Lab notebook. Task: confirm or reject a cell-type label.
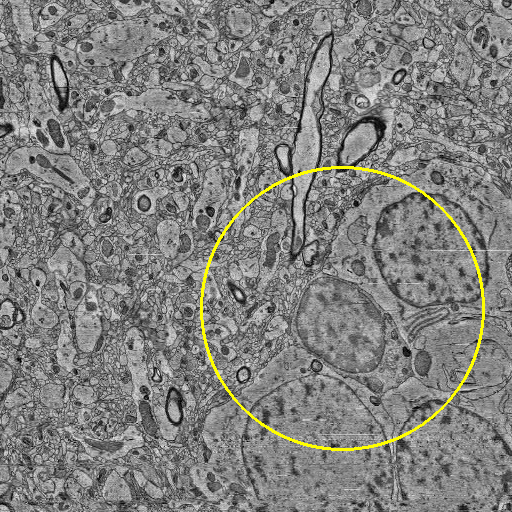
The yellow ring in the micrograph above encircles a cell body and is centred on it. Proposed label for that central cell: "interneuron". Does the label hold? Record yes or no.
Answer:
no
